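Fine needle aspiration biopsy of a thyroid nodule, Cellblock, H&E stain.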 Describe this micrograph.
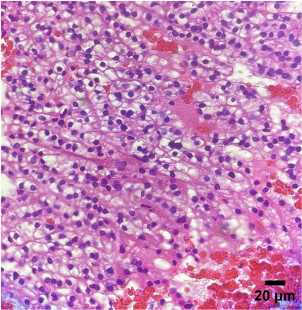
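The nuclei are small, round and dark purple, often sitting toward the middle of the cell. The cells lie side by side in sheets, with thin pink strands running between some groups. Clumps of bright red blood cells lie among them, especially at the lower right.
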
